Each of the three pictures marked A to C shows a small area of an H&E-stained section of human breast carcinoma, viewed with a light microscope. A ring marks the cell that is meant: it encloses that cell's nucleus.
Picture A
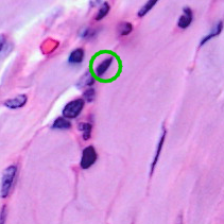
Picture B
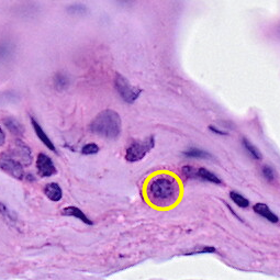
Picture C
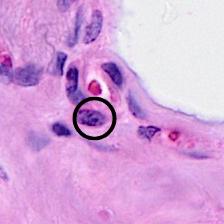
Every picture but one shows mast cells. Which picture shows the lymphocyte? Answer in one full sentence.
It is picture A that shows the lymphocyte.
